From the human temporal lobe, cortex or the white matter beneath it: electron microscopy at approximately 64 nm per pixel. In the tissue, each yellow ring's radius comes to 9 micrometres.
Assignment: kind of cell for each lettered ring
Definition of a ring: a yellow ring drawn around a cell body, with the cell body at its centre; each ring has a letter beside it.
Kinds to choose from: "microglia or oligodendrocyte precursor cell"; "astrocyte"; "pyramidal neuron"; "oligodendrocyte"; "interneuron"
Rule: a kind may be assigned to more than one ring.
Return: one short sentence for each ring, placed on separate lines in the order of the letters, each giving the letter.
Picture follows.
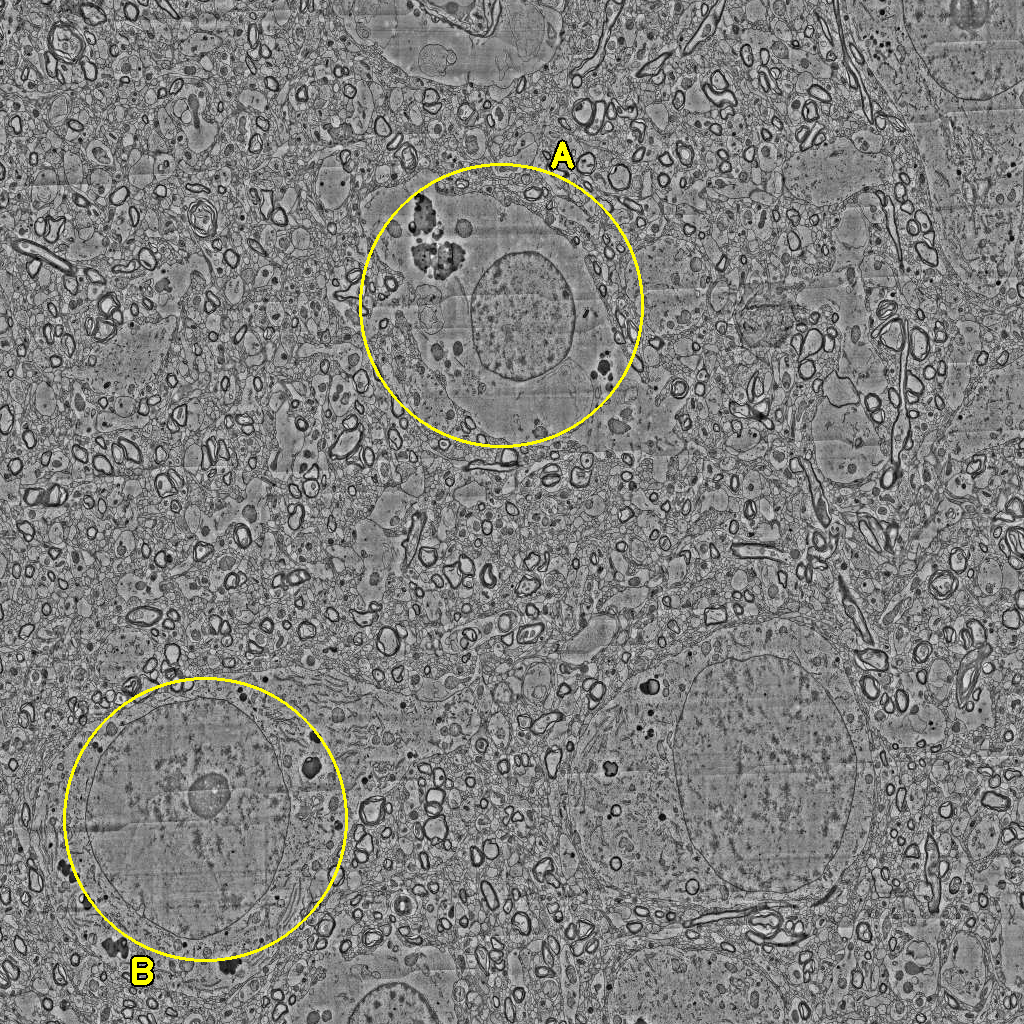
The ring marked A is centred on an astrocyte.
The ring marked B is centred on a pyramidal neuron.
